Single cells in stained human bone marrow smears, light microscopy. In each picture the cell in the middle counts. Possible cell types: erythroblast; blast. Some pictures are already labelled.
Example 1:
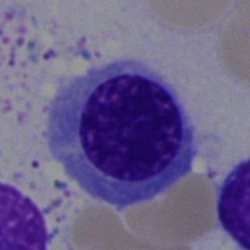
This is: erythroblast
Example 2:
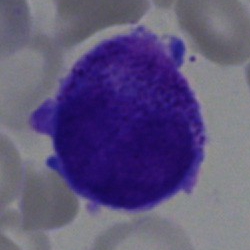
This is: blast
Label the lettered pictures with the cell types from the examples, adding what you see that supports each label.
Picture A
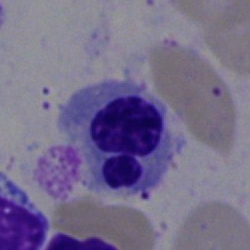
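erythroblast. Evidence: The chromatin is dark purple and coarsely clumped.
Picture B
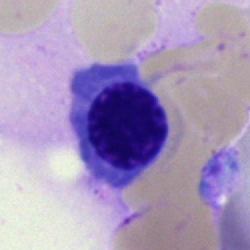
erythroblast. Evidence: The chromatin is dark and coarsely clumped.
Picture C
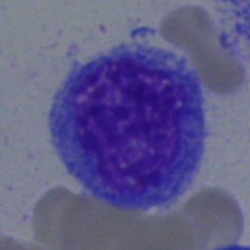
blast. Evidence: The chromatin is purple and finely stippled with small paler spots, not in coarse dense clumps.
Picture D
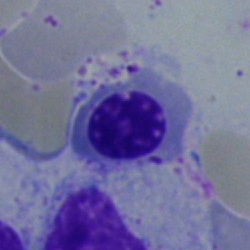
erythroblast. Evidence: The chromatin is dark purple and coarsely clumped, with small paler patches between the clumps.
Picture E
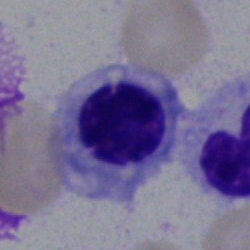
erythroblast. Evidence: The chromatin is dense and dark purple, with coarse clumps.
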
